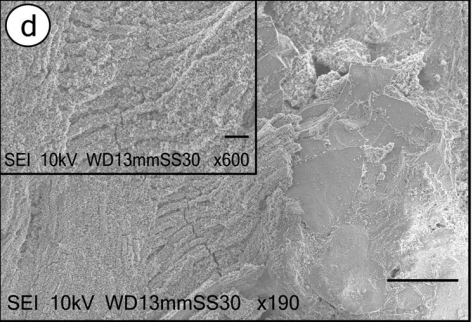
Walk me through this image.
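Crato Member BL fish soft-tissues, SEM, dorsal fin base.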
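Bundles of fine, roughly parallel, granular fibres run in curving sets, crossed by small cracks, and lie beside a smoother, plate-like region on the right. The inset shows the fibre bundles at higher magnification, with the strands converging and changing direction.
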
